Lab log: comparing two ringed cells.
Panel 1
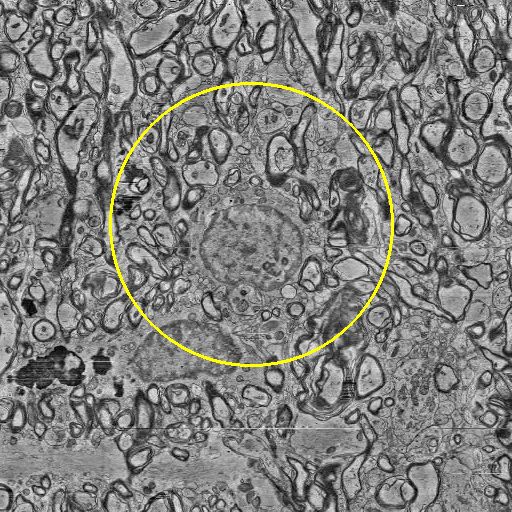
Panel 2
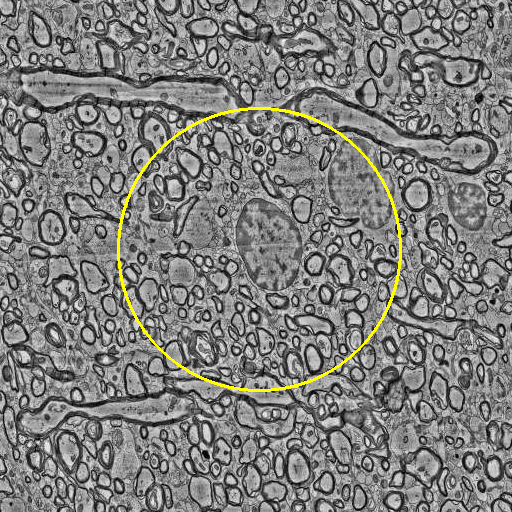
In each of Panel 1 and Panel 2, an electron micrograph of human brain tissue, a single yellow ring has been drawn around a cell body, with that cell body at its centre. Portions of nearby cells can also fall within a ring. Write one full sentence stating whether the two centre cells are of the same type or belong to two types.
The cells at the ring centres in Panel 1 and Panel 2 belong to two types.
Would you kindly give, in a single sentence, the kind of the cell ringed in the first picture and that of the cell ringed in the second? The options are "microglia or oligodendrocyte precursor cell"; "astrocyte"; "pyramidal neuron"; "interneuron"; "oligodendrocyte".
The second cell is a microglial cell or oligodendrocyte precursor cell, and the first cell is an oligodendrocyte.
